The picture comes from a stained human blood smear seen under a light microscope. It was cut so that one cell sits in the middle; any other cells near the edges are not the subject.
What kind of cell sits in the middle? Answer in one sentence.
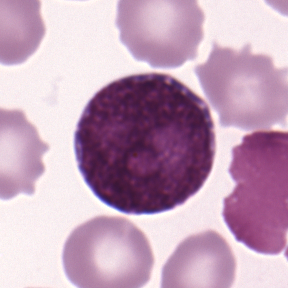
Whatever else lies nearby, the middle cell is a myeloblast.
